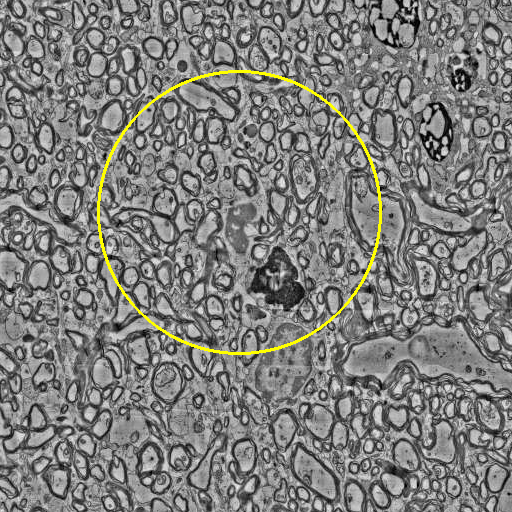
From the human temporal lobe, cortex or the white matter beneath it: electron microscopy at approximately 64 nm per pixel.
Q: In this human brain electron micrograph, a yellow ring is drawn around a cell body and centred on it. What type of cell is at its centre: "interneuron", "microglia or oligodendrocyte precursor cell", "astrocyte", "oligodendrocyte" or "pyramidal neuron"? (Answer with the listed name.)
microglia or oligodendrocyte precursor cell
